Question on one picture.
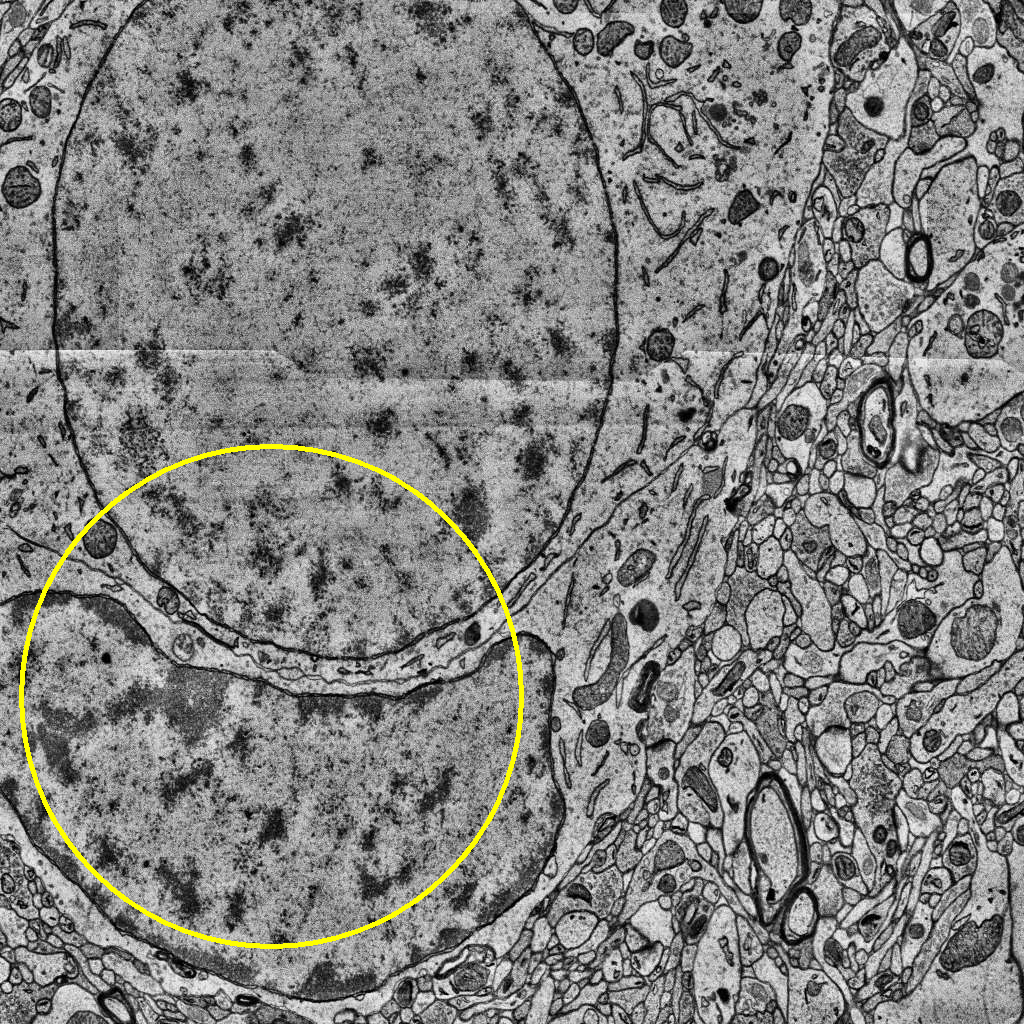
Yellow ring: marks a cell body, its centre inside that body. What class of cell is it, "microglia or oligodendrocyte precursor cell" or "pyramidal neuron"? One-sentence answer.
This is a microglial cell or oligodendrocyte precursor cell, the cell at the ring's centre.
